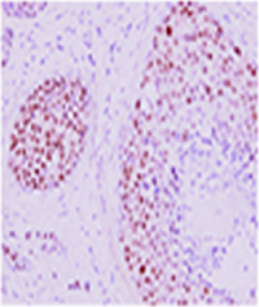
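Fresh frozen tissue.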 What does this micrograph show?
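The nuclei of the carcinoma cells within the nests are stained a dark red-brown, giving a speckled appearance. The stroma between the nests contains only scattered small blue nuclei.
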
